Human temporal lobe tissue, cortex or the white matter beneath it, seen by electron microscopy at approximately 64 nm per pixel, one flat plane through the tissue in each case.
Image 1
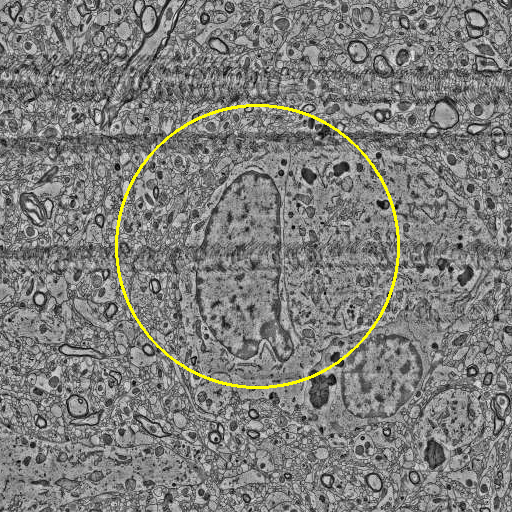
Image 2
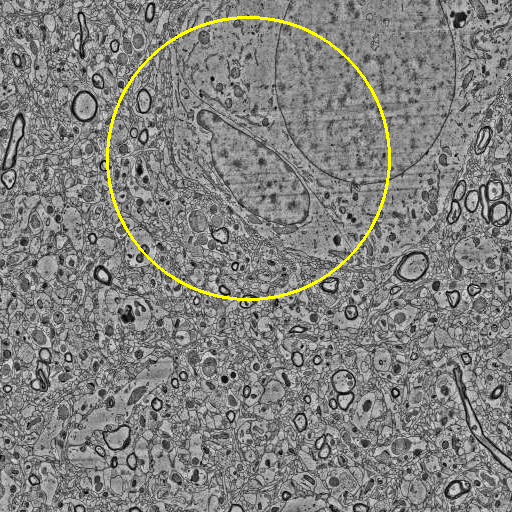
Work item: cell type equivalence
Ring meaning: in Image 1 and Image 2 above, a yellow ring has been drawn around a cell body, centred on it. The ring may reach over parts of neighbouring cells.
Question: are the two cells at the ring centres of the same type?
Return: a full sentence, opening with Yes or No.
Yes, the two centred cells are of the same type.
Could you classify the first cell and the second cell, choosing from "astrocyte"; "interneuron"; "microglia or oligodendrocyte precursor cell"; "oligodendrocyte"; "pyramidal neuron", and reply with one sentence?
In both pictures the ring is centred on a microglial cell or oligodendrocyte precursor cell.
